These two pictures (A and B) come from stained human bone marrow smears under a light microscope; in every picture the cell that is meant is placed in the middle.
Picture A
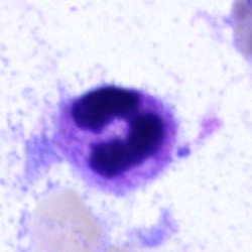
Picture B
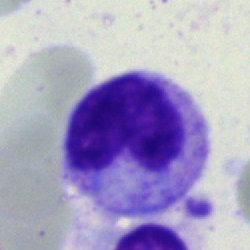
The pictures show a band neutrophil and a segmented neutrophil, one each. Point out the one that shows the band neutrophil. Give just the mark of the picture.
B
